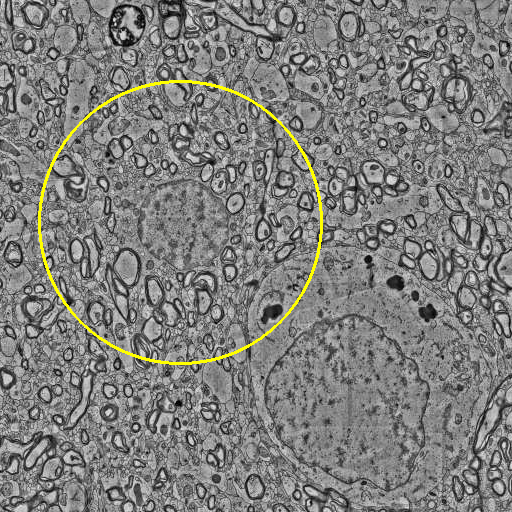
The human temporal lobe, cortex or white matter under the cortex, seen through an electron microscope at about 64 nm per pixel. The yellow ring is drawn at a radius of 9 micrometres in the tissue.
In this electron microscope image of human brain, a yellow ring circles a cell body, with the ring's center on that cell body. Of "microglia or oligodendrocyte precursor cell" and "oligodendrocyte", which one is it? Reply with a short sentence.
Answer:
It is an oligodendrocyte at the center of the ring.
